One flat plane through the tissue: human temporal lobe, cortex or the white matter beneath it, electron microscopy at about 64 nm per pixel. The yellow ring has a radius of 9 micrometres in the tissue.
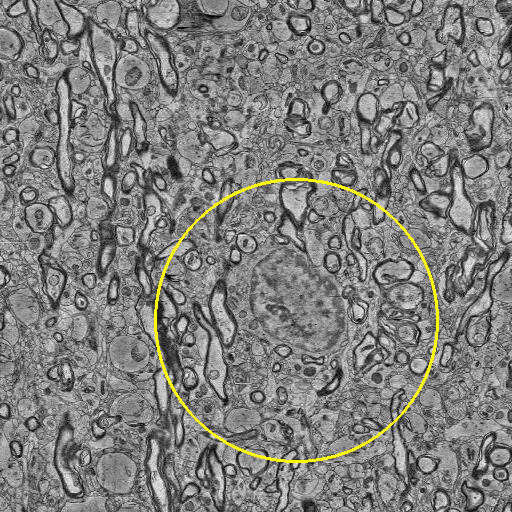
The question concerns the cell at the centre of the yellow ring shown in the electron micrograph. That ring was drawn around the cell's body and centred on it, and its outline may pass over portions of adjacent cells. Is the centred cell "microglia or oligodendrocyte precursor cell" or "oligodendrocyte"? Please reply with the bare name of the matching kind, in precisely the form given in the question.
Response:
oligodendrocyte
